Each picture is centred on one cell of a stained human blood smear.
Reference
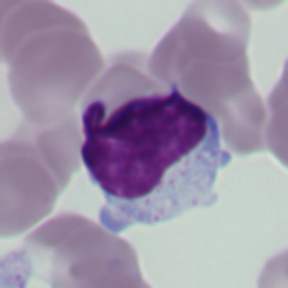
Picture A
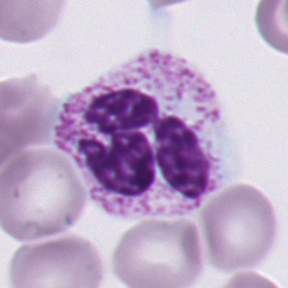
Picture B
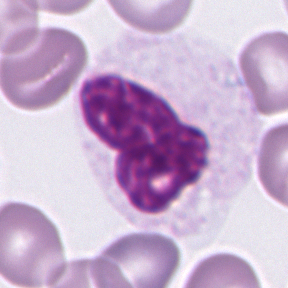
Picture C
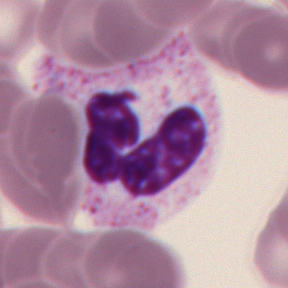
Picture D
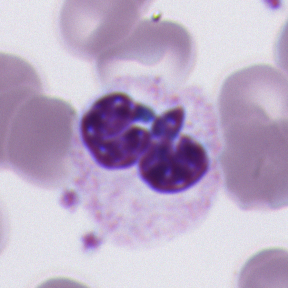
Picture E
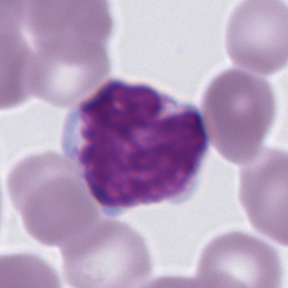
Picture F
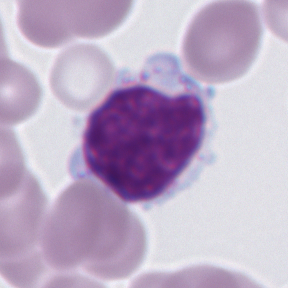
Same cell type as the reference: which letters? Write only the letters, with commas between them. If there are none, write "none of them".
E, F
